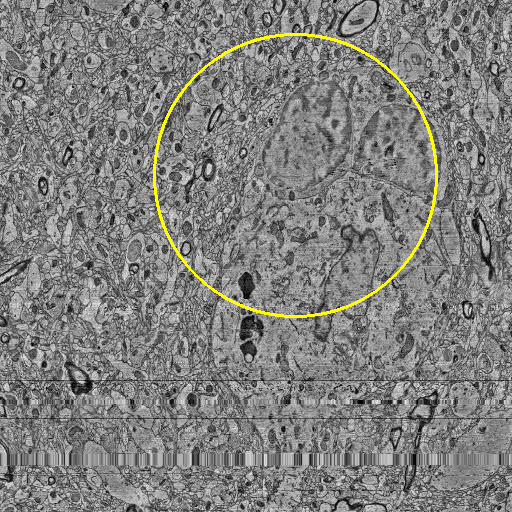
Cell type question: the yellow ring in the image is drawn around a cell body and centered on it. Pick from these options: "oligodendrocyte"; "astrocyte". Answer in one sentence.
The ringed cell at the center is an oligodendrocyte.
